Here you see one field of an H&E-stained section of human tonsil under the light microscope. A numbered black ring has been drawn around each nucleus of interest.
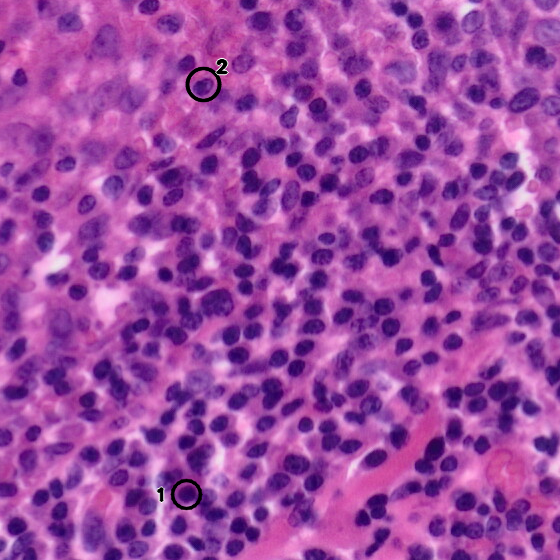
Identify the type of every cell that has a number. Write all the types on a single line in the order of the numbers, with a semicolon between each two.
plasma cell; squamous epithelial cell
